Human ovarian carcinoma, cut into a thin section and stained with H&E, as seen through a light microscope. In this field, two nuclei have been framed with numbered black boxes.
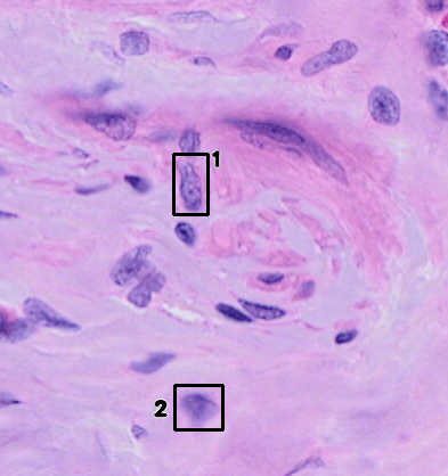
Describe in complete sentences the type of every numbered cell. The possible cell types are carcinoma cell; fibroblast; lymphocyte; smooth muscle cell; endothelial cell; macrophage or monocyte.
Cell 1 is a smooth muscle cell. Cell 2 is a fibroblast.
